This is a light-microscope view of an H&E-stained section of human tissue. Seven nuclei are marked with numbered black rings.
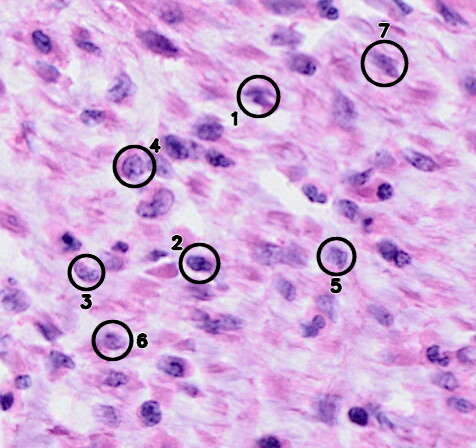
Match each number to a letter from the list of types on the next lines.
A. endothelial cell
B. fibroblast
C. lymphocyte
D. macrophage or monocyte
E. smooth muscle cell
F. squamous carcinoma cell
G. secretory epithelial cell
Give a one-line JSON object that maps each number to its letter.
{"1": "B", "2": "C", "3": "D", "4": "D", "5": "B", "6": "B", "7": "B"}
